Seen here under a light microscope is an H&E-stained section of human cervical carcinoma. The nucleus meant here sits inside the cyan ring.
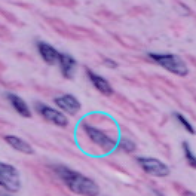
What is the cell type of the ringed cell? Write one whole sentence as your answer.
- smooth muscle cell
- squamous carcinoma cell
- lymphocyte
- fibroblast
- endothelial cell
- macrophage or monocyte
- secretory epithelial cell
The ringed cell appears to be a smooth muscle cell.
